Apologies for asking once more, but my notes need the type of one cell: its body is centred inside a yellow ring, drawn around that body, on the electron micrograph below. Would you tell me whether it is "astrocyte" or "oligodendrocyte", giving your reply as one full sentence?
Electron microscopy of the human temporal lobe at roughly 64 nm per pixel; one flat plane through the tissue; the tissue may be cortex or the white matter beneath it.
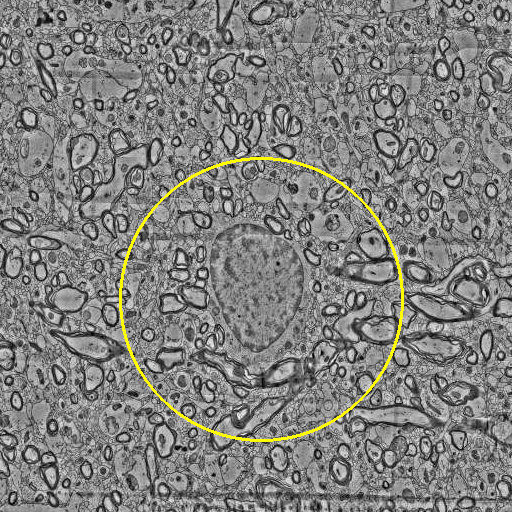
The cell that the yellow ring is centred on is an oligodendrocyte in this micrograph.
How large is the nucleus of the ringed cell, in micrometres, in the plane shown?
Roughly 8 micrometres by 6 micrometres, in this plane.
